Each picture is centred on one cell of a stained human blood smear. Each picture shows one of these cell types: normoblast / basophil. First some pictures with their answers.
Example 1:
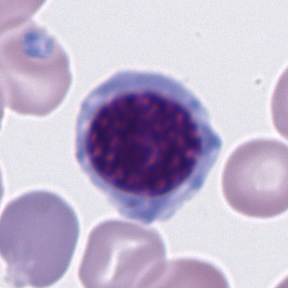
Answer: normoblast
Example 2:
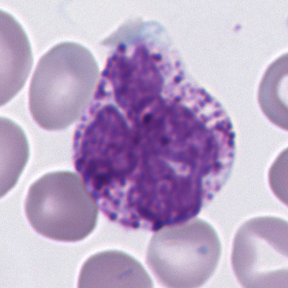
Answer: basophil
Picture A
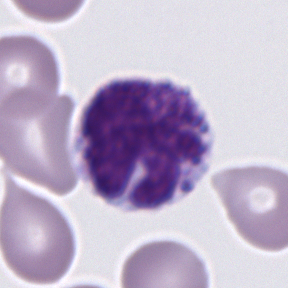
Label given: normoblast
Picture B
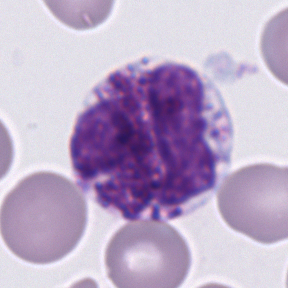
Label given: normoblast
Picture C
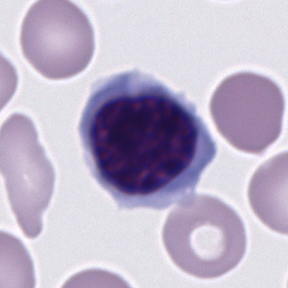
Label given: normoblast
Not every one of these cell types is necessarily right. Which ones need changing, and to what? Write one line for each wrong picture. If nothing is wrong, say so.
A: basophil, not normoblast
B: basophil, not normoblast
